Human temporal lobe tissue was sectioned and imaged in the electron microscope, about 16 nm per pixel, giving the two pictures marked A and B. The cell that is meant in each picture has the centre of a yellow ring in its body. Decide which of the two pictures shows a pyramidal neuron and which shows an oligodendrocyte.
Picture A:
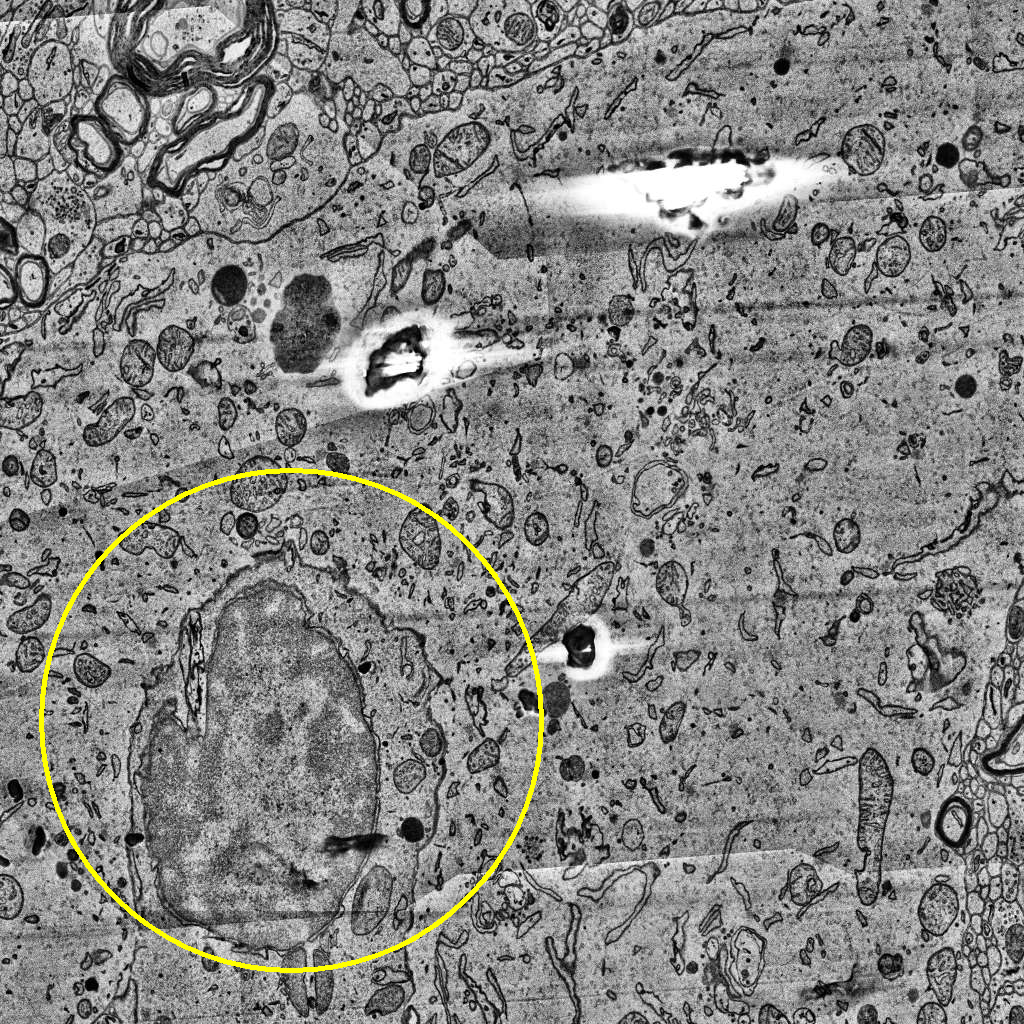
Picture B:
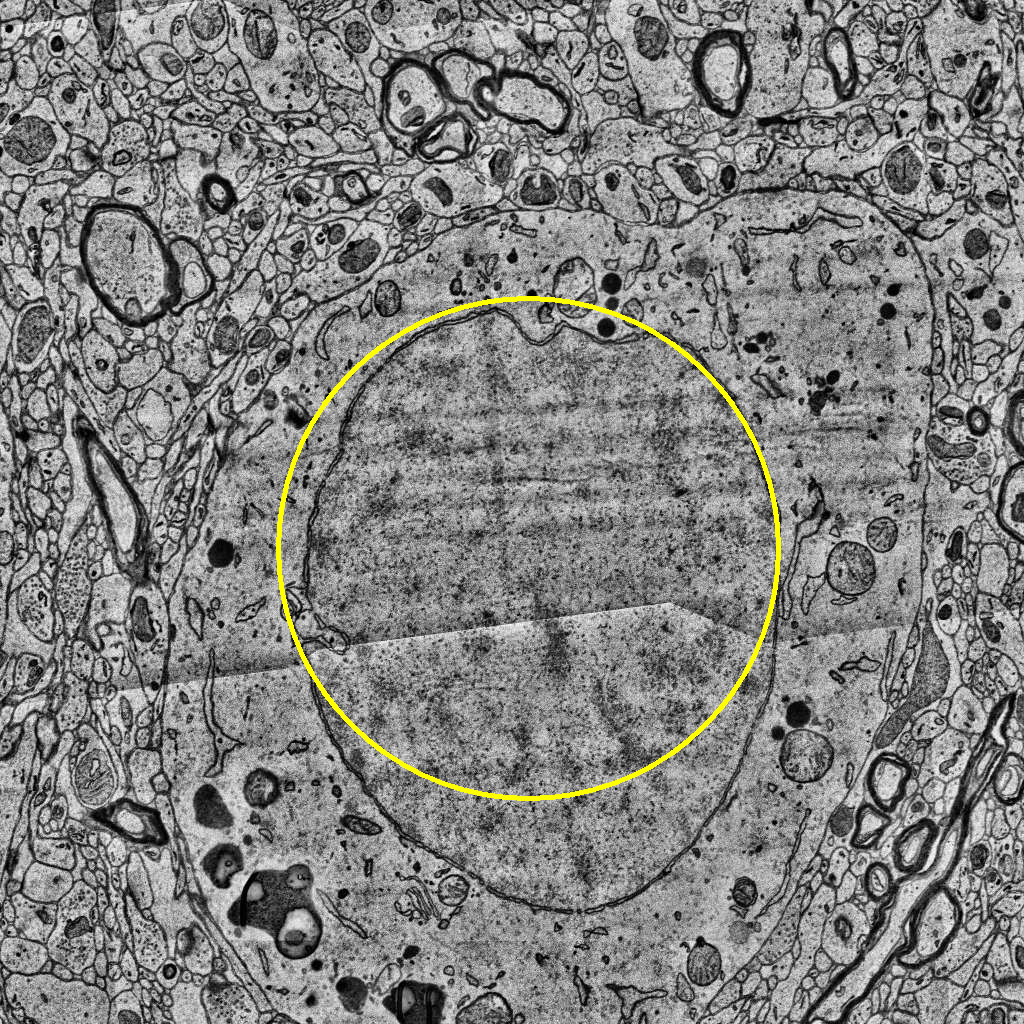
It is picture A that shows an oligodendrocyte, and picture B that shows a pyramidal neuron.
